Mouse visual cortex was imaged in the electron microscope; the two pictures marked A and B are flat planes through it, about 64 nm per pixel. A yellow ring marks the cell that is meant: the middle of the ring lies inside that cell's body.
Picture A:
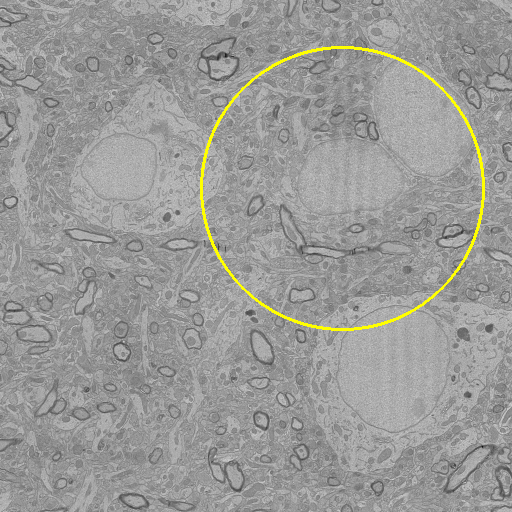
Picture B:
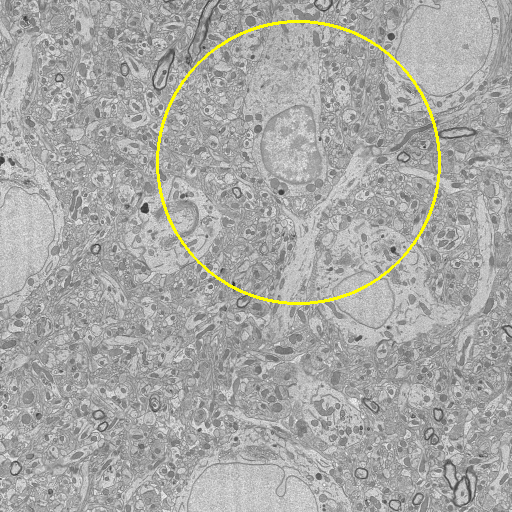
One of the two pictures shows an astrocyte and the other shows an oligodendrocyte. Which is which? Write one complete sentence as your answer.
In picture A the cell is an astrocyte; in picture B, an oligodendrocyte.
